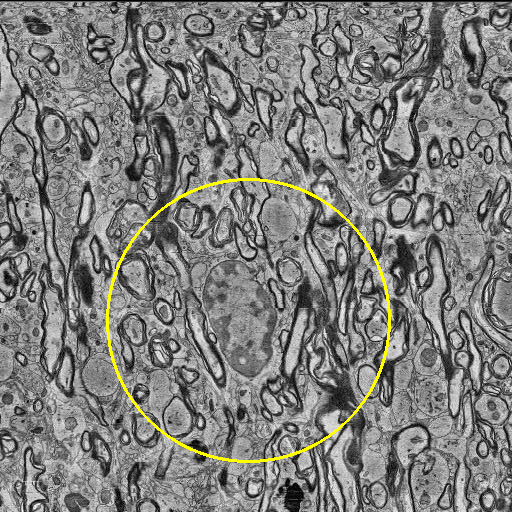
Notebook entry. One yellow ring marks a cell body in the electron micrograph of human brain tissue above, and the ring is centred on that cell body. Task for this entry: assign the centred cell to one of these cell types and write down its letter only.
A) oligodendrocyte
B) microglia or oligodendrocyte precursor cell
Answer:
B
